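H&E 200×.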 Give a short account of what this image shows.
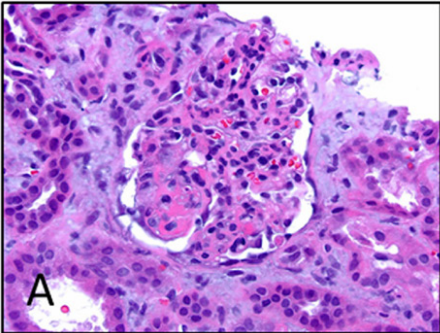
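This is a glomerulus in a section of kidney cortex, surrounded by tubules, and one segment of its capillary tuft is solid. Elsewhere in the tuft there are still open loops with a few red blood cells and scattered dark nuclei. A clear Bowman's space separates the tuft from the capsule. Around the glomerulus lie tubules lined by cuboidal cells with pink cytoplasm and round, dark purple nuclei.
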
